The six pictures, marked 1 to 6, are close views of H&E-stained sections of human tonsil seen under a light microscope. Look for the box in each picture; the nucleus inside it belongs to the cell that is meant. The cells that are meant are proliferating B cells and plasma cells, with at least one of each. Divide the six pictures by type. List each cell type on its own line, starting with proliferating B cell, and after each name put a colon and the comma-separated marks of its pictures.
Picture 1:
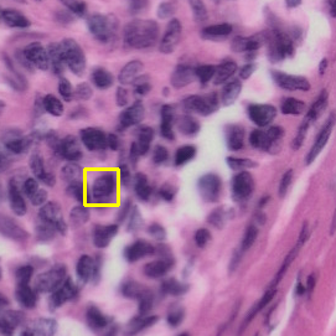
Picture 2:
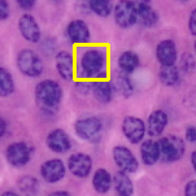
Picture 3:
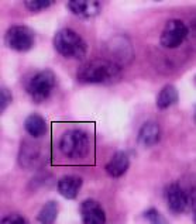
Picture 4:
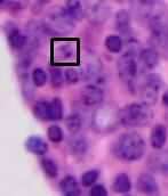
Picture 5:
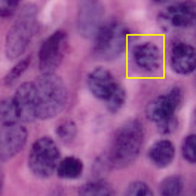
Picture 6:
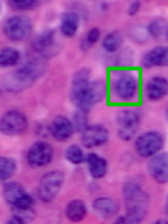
proliferating B cell: 1, 4
plasma cell: 2, 3, 5, 6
